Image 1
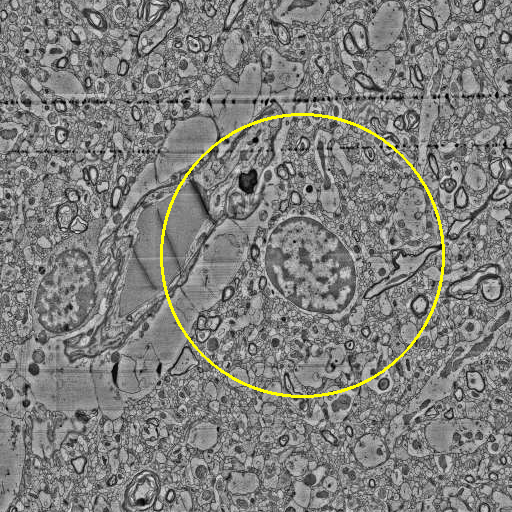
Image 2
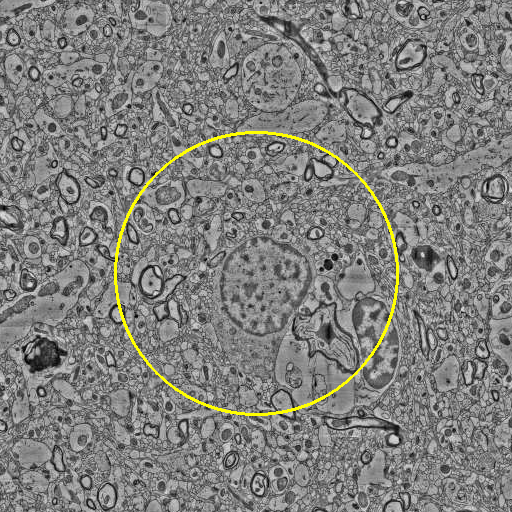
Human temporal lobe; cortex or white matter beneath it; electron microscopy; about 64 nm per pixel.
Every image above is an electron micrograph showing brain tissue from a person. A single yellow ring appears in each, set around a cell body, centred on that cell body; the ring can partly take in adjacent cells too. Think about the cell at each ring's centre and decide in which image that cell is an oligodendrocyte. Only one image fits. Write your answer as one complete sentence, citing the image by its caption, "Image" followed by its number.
Image 2 is the one whose ringed central cell fits the description.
